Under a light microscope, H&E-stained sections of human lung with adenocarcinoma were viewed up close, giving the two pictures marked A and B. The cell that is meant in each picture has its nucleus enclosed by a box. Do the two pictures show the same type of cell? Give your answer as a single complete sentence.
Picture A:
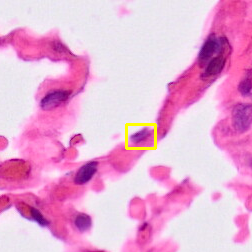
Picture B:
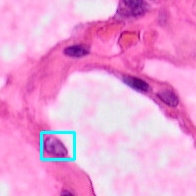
Yes, the two pictures both show type I pneumocytes.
